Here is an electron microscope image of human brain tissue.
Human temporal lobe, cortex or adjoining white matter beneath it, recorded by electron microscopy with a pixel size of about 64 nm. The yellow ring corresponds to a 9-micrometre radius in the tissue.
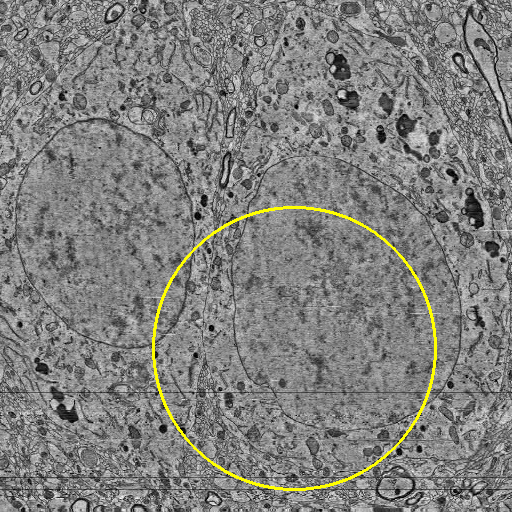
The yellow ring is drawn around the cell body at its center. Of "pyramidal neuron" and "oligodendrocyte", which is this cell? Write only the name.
pyramidal neuron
